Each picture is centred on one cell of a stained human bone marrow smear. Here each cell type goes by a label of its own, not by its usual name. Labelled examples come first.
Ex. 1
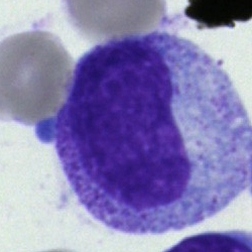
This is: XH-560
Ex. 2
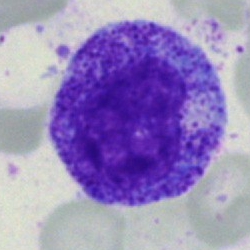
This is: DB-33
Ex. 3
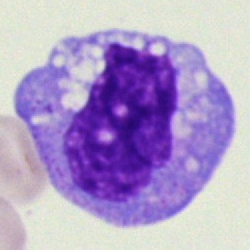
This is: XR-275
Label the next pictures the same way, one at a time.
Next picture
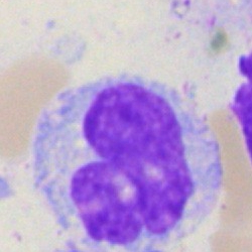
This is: XR-275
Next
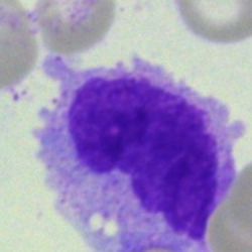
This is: XR-275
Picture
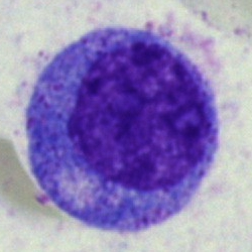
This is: XH-560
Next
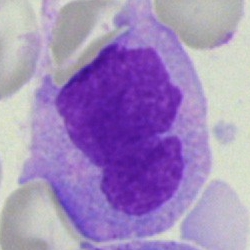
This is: XR-275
